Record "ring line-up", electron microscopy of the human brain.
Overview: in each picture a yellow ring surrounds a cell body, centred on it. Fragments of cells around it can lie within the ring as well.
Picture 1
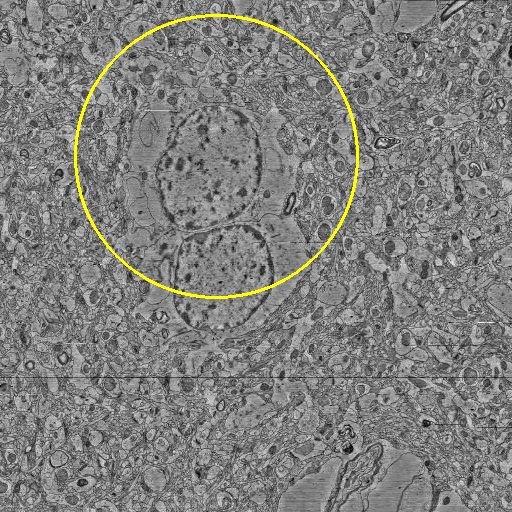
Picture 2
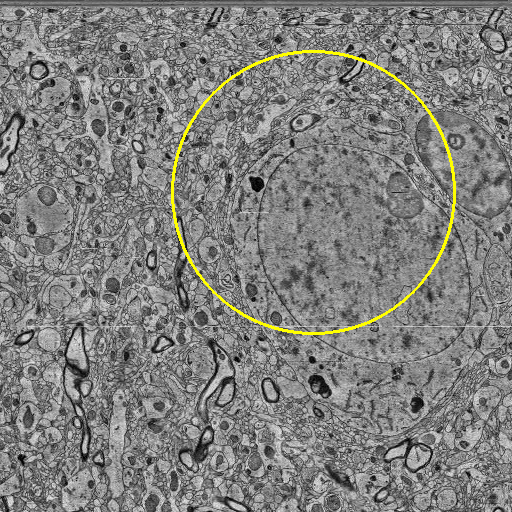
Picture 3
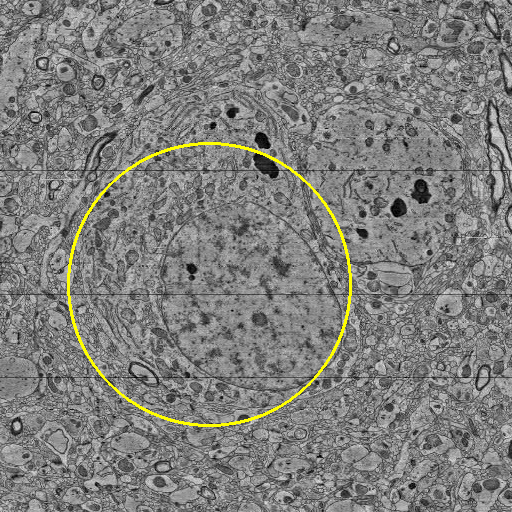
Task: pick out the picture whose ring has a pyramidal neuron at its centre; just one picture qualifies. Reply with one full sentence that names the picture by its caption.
Going by the cell at the ring's centre, the right choice is Picture 2.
